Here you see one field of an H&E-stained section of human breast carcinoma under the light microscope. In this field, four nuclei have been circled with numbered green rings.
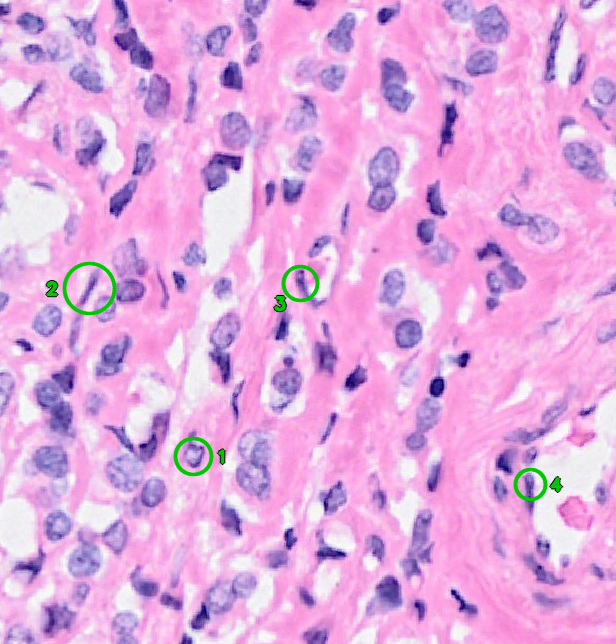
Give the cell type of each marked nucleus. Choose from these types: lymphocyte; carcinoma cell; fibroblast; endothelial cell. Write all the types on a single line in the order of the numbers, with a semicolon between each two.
endothelial cell; fibroblast; endothelial cell; endothelial cell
